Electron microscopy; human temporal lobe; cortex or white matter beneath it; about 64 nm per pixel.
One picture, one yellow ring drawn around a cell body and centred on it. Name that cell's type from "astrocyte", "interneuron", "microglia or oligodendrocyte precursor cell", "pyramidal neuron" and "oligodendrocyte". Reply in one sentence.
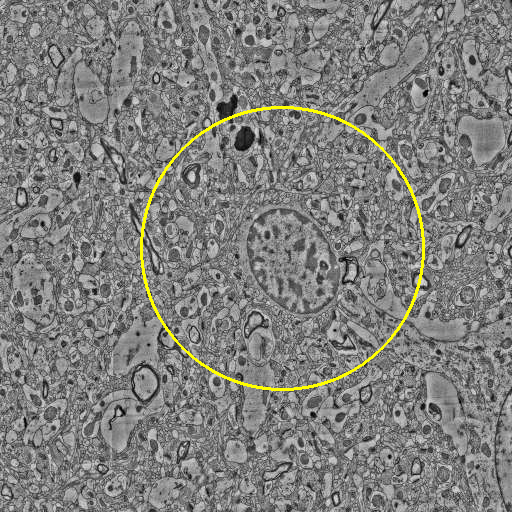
Centred in the ring is an oligodendrocyte.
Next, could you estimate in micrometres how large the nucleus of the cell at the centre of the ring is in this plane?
In this plane the nucleus is about 7 micrometres by 5.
